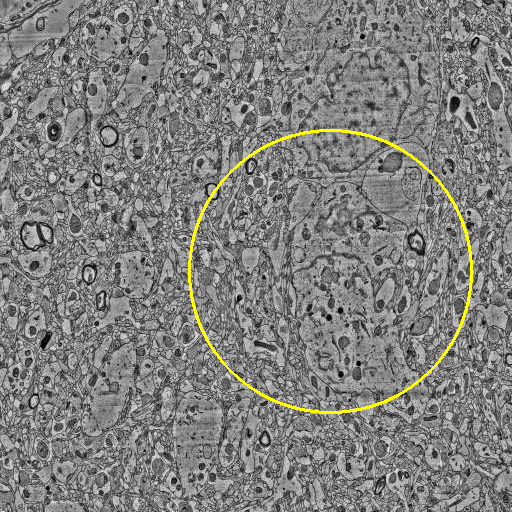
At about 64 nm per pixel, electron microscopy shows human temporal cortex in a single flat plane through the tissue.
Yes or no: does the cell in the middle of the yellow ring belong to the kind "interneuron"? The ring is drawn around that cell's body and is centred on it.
no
